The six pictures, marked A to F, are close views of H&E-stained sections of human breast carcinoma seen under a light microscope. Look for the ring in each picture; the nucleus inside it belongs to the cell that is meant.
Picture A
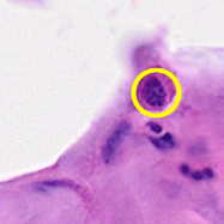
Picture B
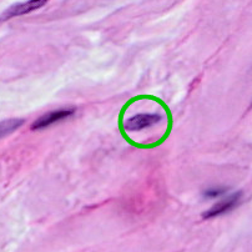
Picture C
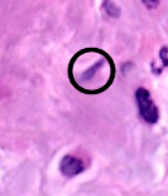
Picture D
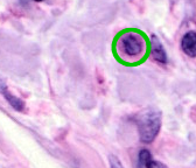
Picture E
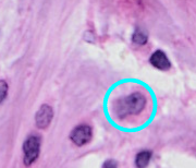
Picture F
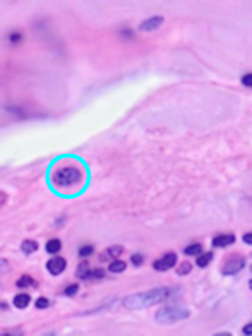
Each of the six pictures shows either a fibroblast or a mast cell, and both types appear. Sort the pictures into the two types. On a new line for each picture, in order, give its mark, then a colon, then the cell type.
A: mast cell
B: fibroblast
C: fibroblast
D: mast cell
E: mast cell
F: mast cell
